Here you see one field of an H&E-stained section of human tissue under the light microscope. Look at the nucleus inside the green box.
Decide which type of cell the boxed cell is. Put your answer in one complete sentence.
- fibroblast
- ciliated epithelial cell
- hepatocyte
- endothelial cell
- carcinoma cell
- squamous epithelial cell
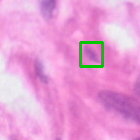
Cytologically, the boxed cell is to be regarded as a fibroblast.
